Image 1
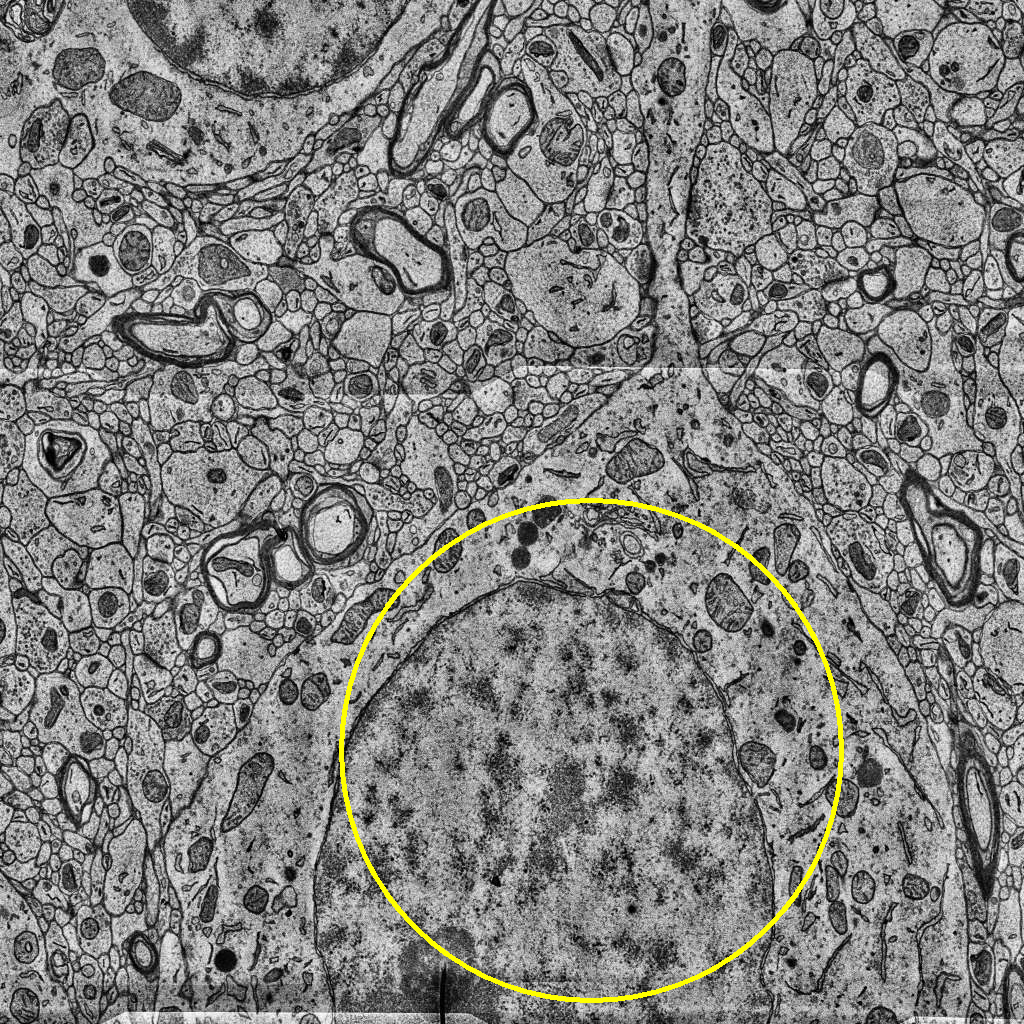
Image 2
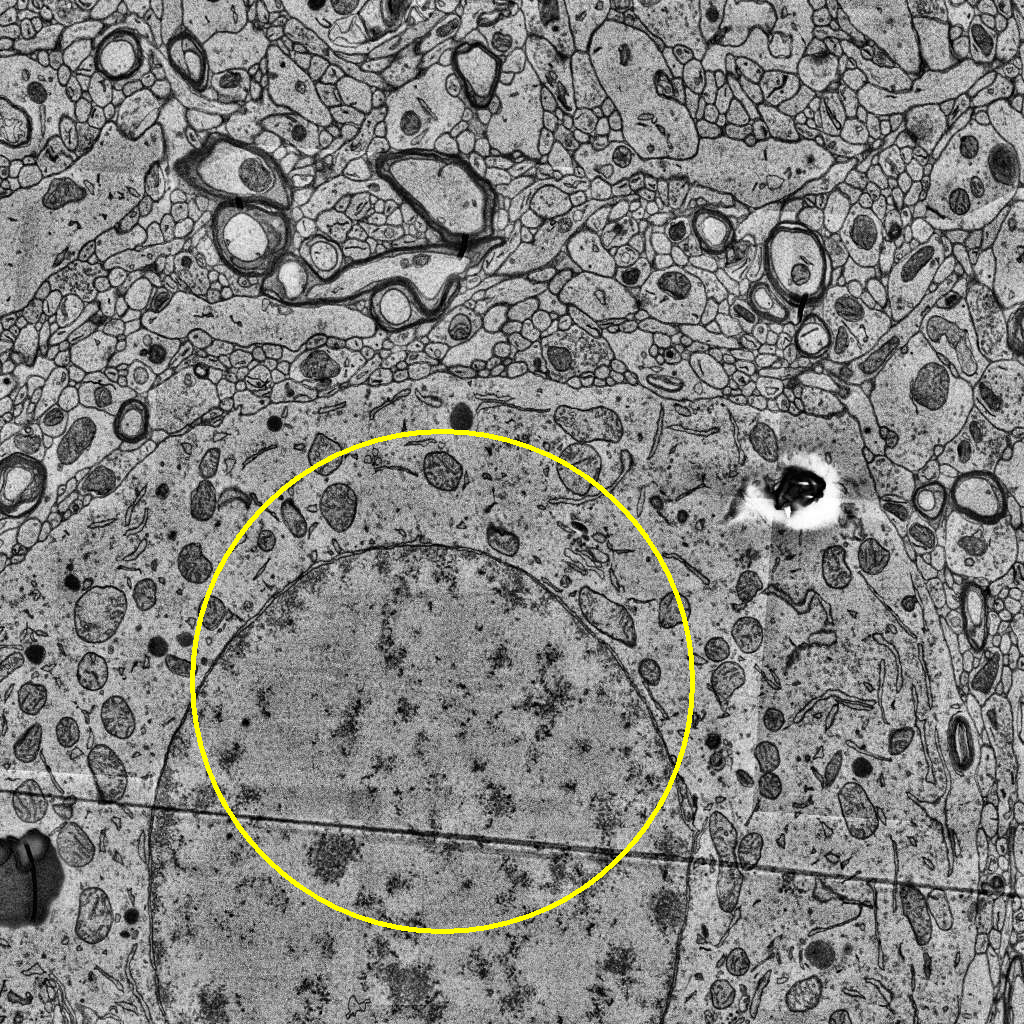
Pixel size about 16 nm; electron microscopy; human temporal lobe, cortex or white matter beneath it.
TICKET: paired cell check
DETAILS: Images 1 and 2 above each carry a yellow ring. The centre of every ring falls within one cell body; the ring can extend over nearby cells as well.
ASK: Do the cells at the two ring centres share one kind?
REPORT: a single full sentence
Yes, the cells at the ring centres of Images 1 and 2 belong to a single kind.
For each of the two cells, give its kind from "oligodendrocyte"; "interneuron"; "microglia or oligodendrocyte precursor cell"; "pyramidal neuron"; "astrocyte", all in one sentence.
The cell at the ring centre is an interneuron in both pictures.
